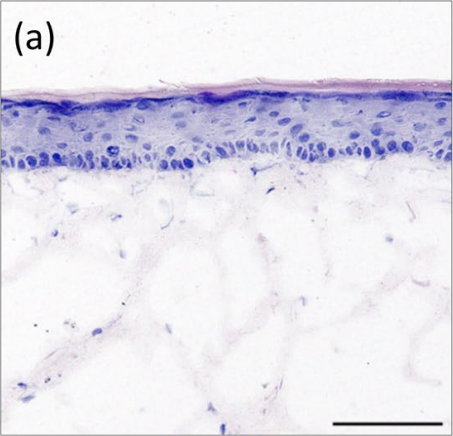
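Full-thickness skin with a stratified epithelium over a loose connective layer. A row of tall, closely set basal keratinocytes with dark oval nuclei lines the bottom of the epithelium, the cells above become progressively flatter, and a thin pink anucleate stratum corneum covers the surface. Beneath, sparse elongated cells lie in a pale, loose fibrous matrix.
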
